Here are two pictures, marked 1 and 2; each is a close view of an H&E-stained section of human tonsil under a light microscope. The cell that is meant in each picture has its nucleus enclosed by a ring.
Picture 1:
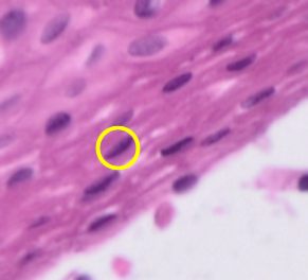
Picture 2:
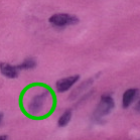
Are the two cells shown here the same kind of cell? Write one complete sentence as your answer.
No, they differ: the cell is a squamous epithelial cell in picture 1 and an endothelial cell in picture 2.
